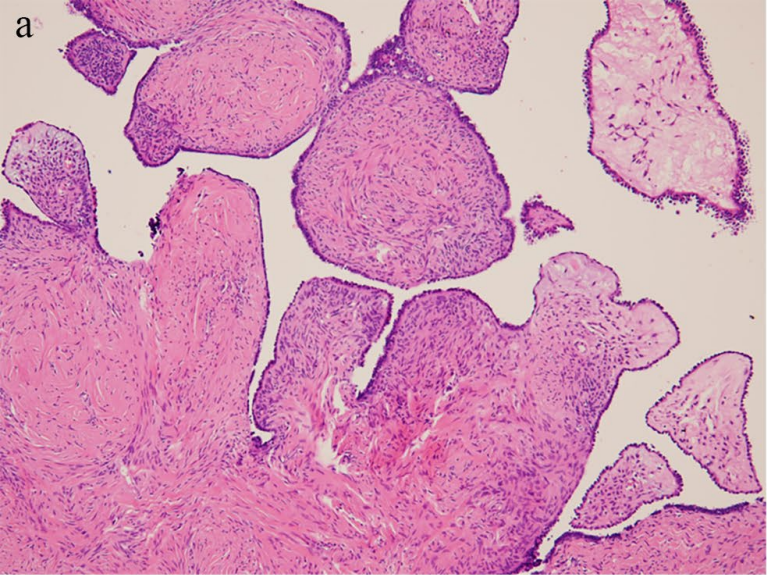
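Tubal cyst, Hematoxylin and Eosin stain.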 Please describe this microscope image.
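The fronds are rounded, club-shaped or finger-like and are separated by clear spaces. The lining cells have small, dark purple nuclei and form a thin, continuous rim along the surface. Beneath them, the cores are filled with elongated spindle cells with slender nuclei arranged in streams and whorls within pink fibrous stroma. One frond at the upper right has a paler, looser, more oedematous core with fewer cells.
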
